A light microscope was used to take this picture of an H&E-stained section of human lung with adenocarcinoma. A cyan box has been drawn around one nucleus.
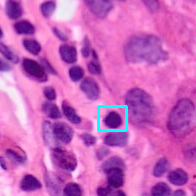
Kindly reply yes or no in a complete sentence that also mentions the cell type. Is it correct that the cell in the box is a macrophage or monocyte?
No, what the cell in the box represents is a lymphocyte rather than a macrophage or monocyte.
